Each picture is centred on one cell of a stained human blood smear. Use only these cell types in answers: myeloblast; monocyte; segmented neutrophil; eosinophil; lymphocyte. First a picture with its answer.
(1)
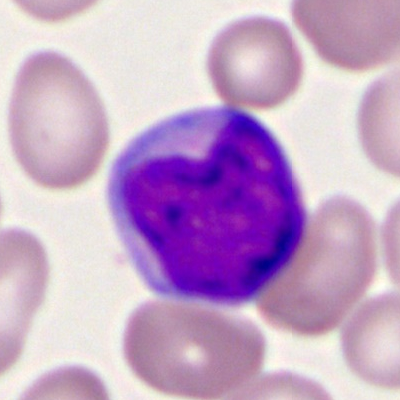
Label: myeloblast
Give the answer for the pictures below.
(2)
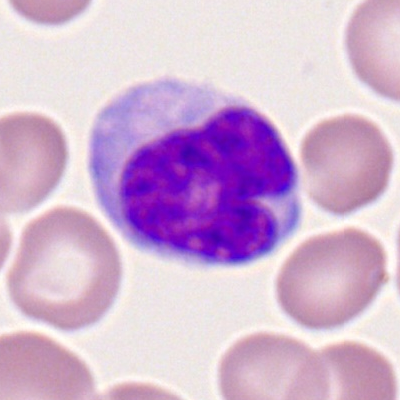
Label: monocyte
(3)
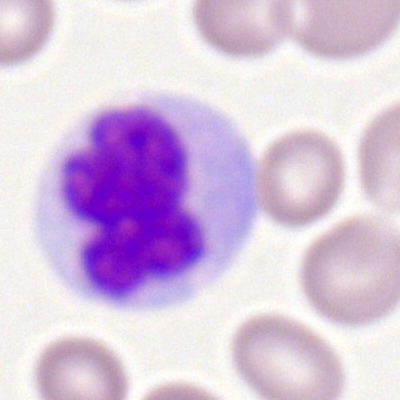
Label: monocyte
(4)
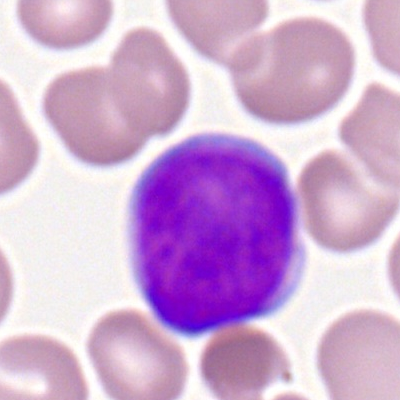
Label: myeloblast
